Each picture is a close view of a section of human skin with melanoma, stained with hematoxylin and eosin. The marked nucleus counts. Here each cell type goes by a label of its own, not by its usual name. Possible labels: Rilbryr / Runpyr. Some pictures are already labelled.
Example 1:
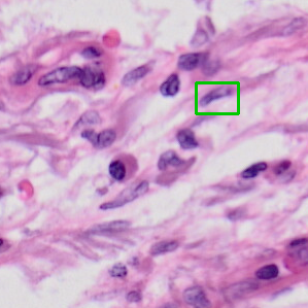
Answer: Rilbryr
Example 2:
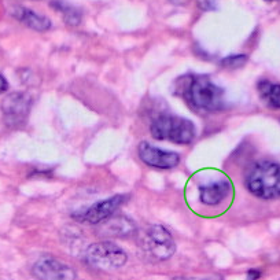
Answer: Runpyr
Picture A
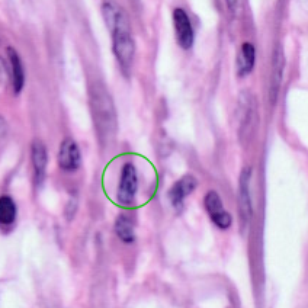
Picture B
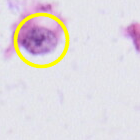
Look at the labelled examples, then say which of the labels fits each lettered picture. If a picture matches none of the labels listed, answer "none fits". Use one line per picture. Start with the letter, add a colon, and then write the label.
A: none fits
B: Runpyr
